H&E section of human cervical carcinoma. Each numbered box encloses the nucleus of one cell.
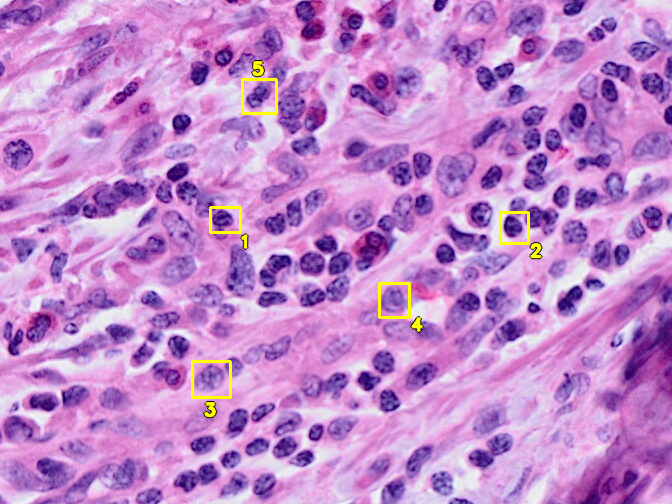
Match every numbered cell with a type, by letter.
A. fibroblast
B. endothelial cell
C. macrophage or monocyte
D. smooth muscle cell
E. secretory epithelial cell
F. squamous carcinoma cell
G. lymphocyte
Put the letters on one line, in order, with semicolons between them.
G; G; C; B; G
